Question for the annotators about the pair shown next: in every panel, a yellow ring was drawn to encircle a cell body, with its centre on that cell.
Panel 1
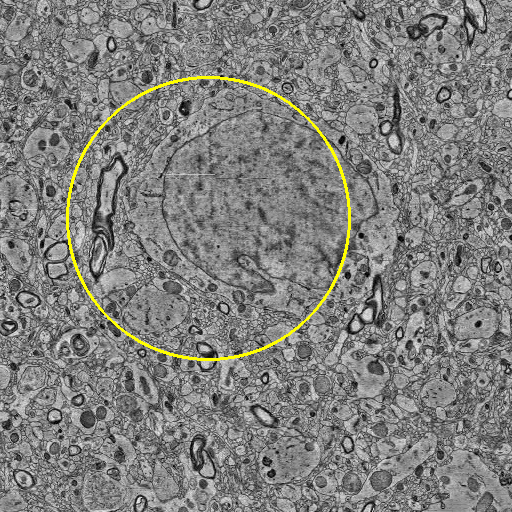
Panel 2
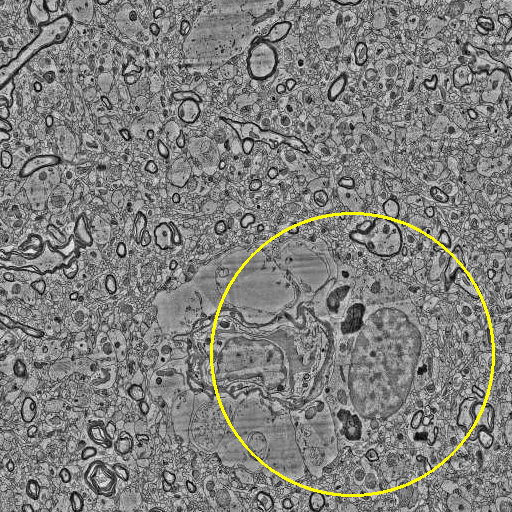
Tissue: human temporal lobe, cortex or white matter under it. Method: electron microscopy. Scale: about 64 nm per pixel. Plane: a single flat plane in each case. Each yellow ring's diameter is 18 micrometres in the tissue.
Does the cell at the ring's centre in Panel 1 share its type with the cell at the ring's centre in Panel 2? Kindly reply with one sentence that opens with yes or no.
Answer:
No, in Panels 1 and 2 the cells at the ring centres belong to separate types.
